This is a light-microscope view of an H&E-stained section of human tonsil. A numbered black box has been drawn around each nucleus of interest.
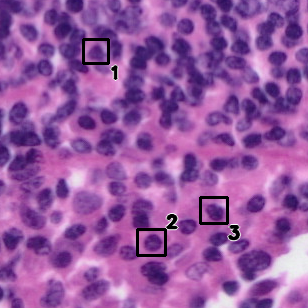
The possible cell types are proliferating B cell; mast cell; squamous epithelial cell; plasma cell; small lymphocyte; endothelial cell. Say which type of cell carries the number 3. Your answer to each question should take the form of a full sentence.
The cell marked with the number 3 is a plasma cell.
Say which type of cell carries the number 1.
Identified as a small lymphocyte is the cell bearing the number 1.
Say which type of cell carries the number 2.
The cell indicated by marker 2 is a plasma cell in this section.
